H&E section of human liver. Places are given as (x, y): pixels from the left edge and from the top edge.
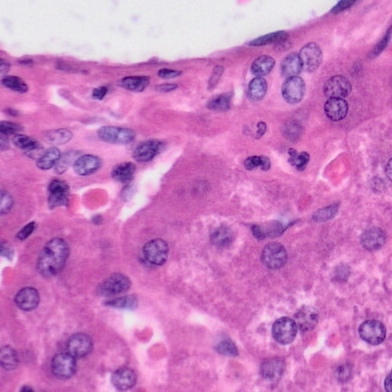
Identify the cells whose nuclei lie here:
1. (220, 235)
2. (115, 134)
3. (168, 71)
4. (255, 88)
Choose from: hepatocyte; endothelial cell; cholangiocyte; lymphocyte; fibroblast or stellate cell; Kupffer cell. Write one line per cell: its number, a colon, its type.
1: hepatocyte
2: cholangiocyte
3: fibroblast or stellate cell
4: cholangiocyte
